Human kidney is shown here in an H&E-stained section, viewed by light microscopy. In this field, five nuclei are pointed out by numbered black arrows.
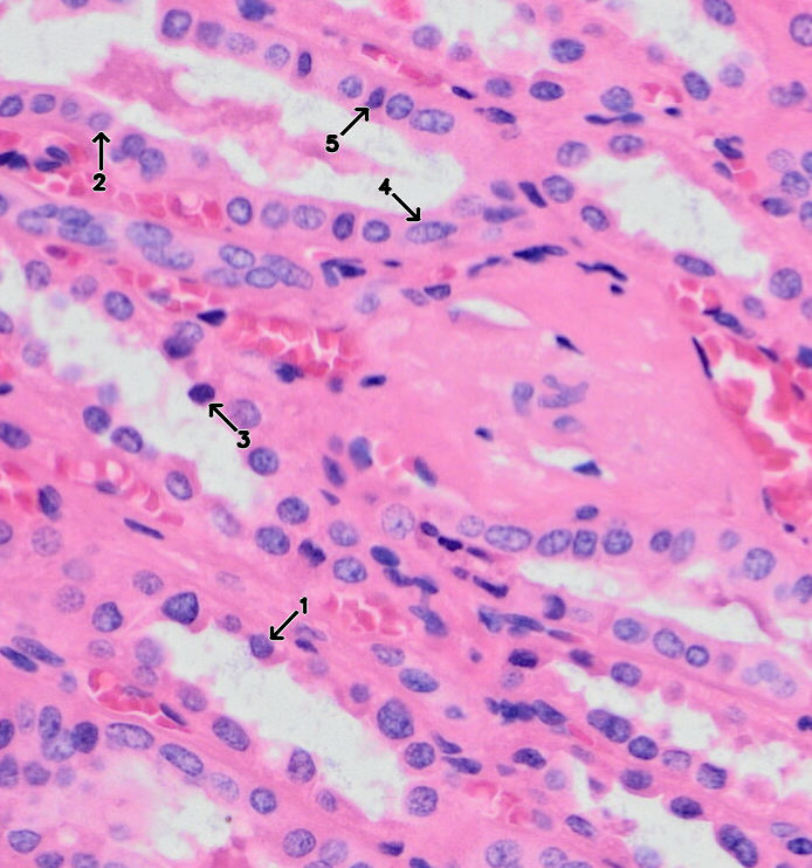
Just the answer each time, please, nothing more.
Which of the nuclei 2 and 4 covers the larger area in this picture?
4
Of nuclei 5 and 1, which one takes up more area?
1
